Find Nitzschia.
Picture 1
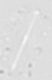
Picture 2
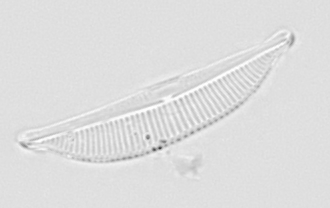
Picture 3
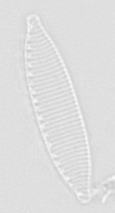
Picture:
3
